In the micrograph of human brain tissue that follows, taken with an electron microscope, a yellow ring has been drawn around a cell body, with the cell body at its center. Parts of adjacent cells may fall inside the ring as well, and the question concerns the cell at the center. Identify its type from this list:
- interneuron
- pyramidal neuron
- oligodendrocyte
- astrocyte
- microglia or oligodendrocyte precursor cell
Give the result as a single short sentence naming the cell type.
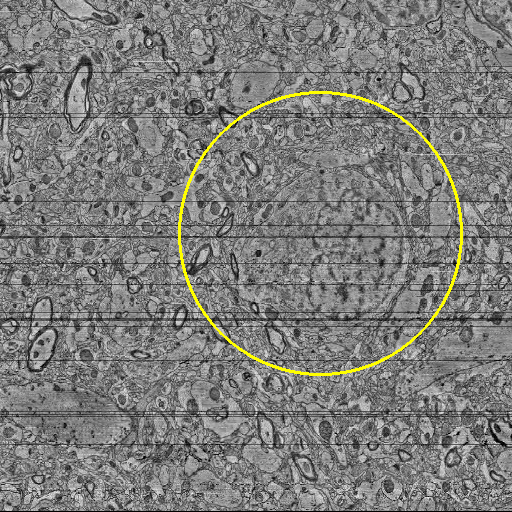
The ring is centered on an interneuron.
